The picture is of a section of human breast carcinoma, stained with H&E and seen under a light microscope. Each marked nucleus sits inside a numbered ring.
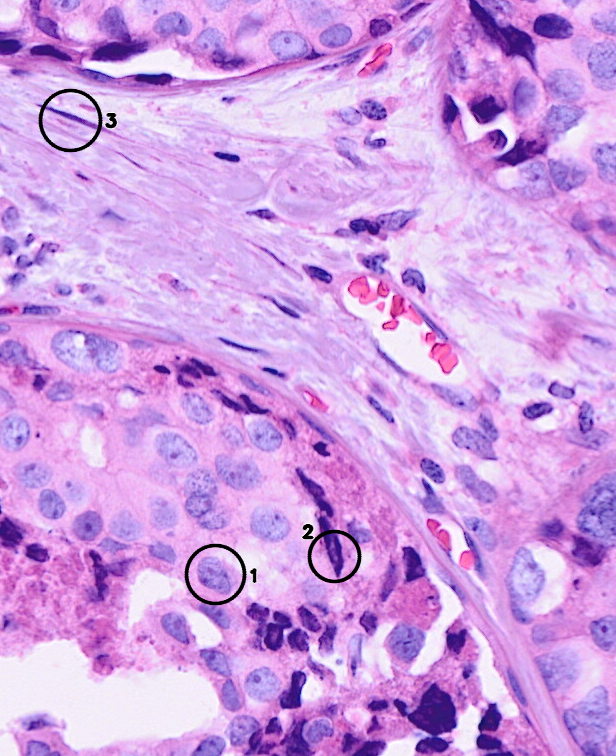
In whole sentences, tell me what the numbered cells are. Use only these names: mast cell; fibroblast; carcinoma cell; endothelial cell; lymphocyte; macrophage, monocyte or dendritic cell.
Cell 1 is a carcinoma cell, cell 2 is a carcinoma cell and cell 3 is a fibroblast.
